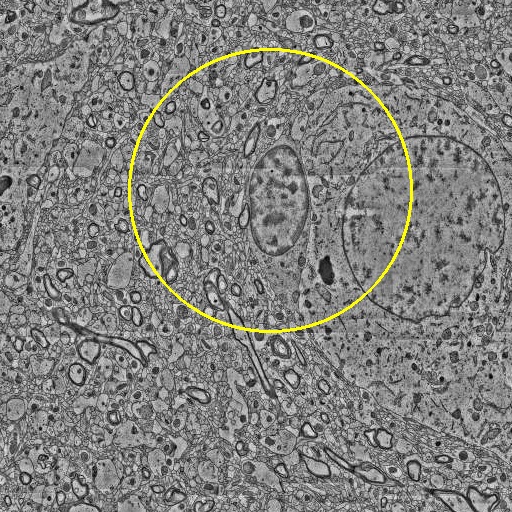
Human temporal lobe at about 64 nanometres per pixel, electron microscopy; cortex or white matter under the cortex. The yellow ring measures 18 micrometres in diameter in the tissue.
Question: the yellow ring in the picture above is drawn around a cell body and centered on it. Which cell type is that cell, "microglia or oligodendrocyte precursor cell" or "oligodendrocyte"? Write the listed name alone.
oligodendrocyte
